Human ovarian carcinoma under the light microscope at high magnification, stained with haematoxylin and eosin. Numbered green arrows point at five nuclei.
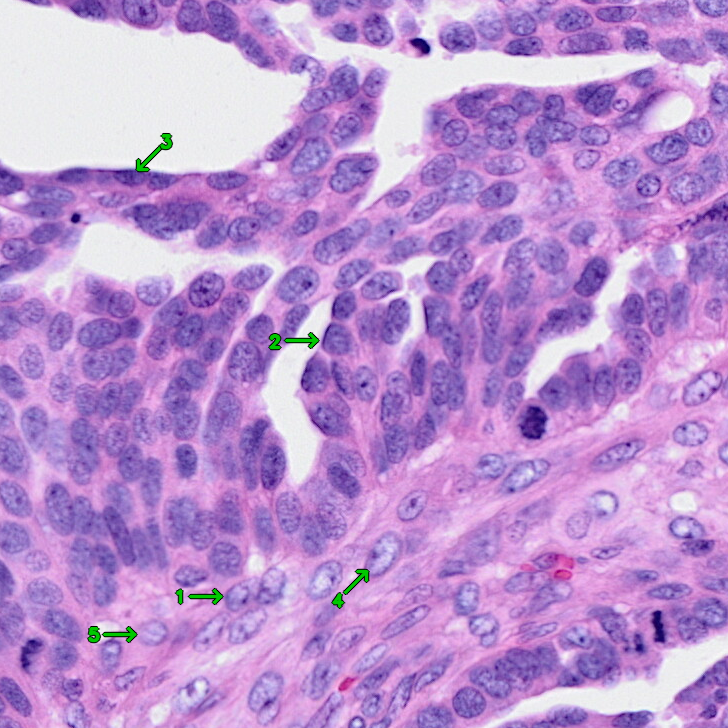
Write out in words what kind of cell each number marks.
Cell 1 is a fibroblast, cell 2 is a carcinoma cell, cell 3 is a carcinoma cell, cell 4 is a fibroblast and cell 5 is a fibroblast.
